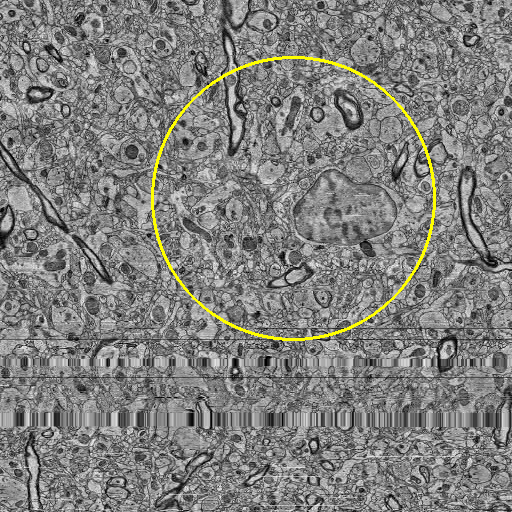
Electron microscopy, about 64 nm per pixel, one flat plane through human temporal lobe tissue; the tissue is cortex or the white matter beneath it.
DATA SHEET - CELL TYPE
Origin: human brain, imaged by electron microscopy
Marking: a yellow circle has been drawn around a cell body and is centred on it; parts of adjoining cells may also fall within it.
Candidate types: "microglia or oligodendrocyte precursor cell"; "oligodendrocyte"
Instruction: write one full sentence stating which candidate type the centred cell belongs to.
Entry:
The cell body at the centre of the yellow ring in this micrograph belongs to a microglial cell or oligodendrocyte precursor cell.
